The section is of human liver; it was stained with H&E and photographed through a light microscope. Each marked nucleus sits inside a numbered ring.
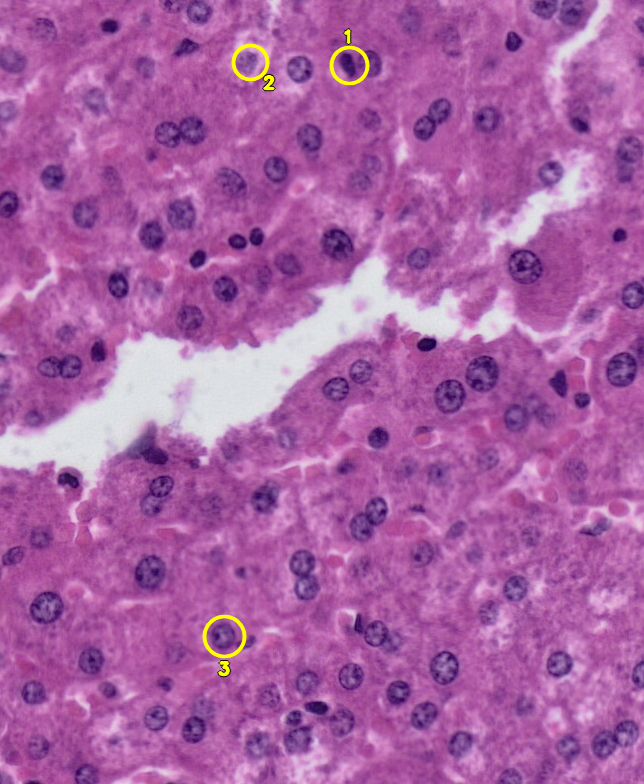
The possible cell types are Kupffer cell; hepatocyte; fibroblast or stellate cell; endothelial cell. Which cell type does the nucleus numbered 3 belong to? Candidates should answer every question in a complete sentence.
Numbered cell 3 is a hepatocyte in this tissue section.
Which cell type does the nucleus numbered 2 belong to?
Within this field of view, the cell labelled 2 is a hepatocyte.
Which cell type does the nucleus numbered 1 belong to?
The cell that carries the label 1 is a fibroblast or stellate cell.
